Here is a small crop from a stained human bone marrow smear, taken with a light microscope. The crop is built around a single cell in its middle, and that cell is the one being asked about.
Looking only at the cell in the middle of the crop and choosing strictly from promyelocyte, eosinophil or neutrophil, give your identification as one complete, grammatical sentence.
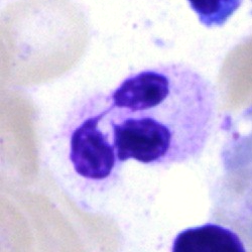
In short, the cell at the center is a neutrophil.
